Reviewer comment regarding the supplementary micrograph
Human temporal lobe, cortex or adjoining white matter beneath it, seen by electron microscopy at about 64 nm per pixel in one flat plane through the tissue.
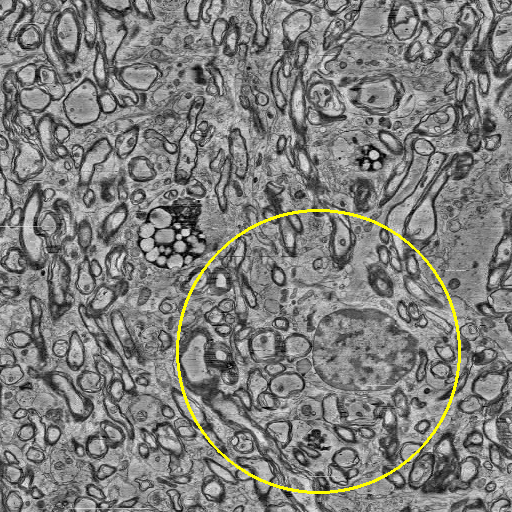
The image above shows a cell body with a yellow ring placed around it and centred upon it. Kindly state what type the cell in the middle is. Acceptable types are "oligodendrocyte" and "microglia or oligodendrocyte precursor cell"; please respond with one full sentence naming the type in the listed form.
In the image above, the cell on which the yellow ring is centred is a microglial cell or oligodendrocyte precursor cell.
